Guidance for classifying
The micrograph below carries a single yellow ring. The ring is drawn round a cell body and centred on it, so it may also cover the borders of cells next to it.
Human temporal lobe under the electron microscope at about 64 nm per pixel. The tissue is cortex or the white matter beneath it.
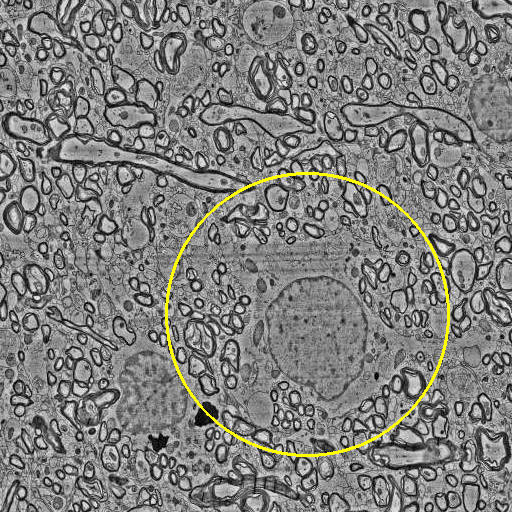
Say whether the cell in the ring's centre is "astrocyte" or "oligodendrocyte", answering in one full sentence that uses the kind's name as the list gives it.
Within the yellow ring, an astrocyte is the cell whose body sits at the centre.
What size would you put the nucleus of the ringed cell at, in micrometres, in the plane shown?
In this plane, the nucleus is roughly 8 by 6 micrometres.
